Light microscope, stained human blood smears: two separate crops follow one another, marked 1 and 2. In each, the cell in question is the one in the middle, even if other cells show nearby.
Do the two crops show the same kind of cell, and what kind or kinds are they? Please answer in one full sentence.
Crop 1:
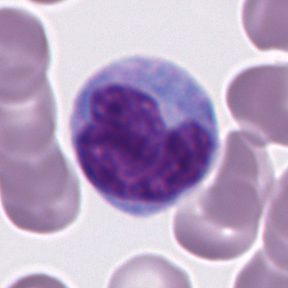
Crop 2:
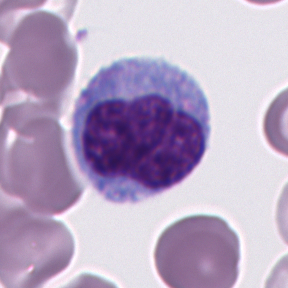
Yes, the middle cells in both crops are indeed monocytes.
